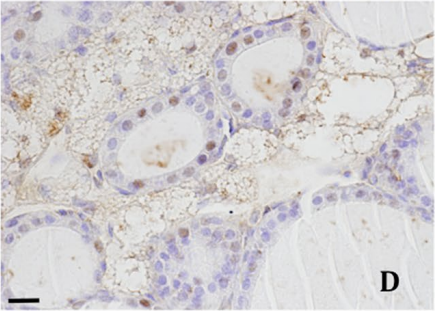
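Thyroid follicles of varied size are seen, some small with a clear ring of cuboidal lining cells around pale colloid. The follicular cells have round nuclei, several of which are stained brown while others remain blue. Between follicles lies a loose, pale, foamy or vacuolated material with scattered brown granules. Larger follicles at the edges of the field contain pale colloid with streaks from sectioning.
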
